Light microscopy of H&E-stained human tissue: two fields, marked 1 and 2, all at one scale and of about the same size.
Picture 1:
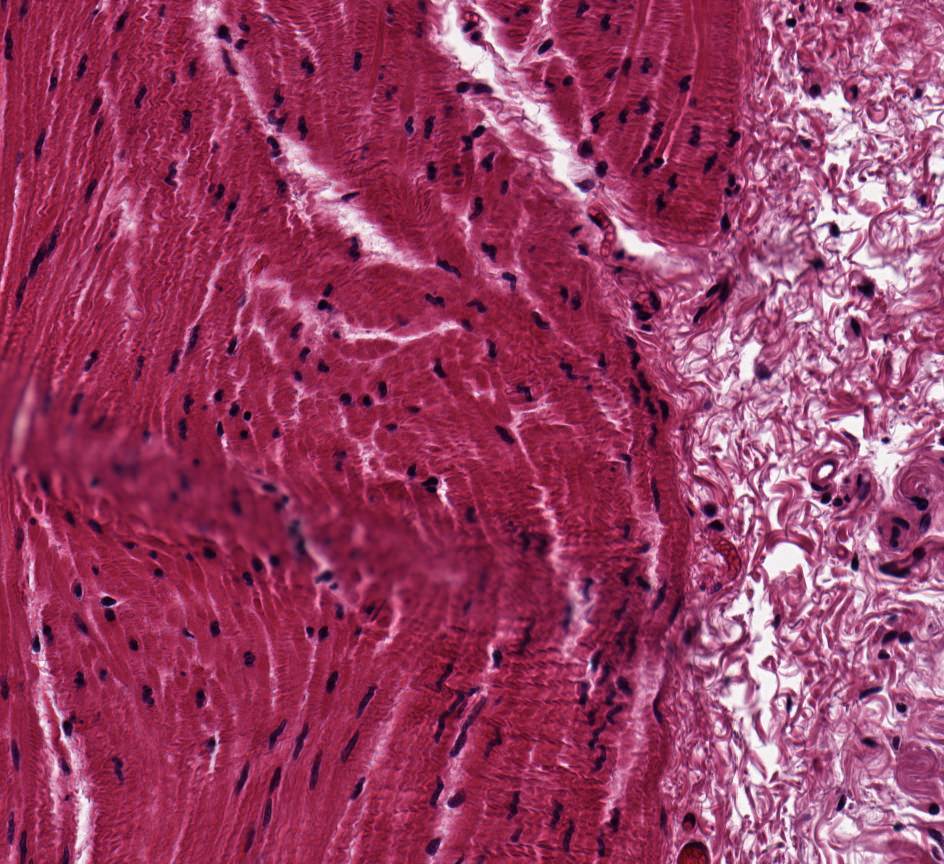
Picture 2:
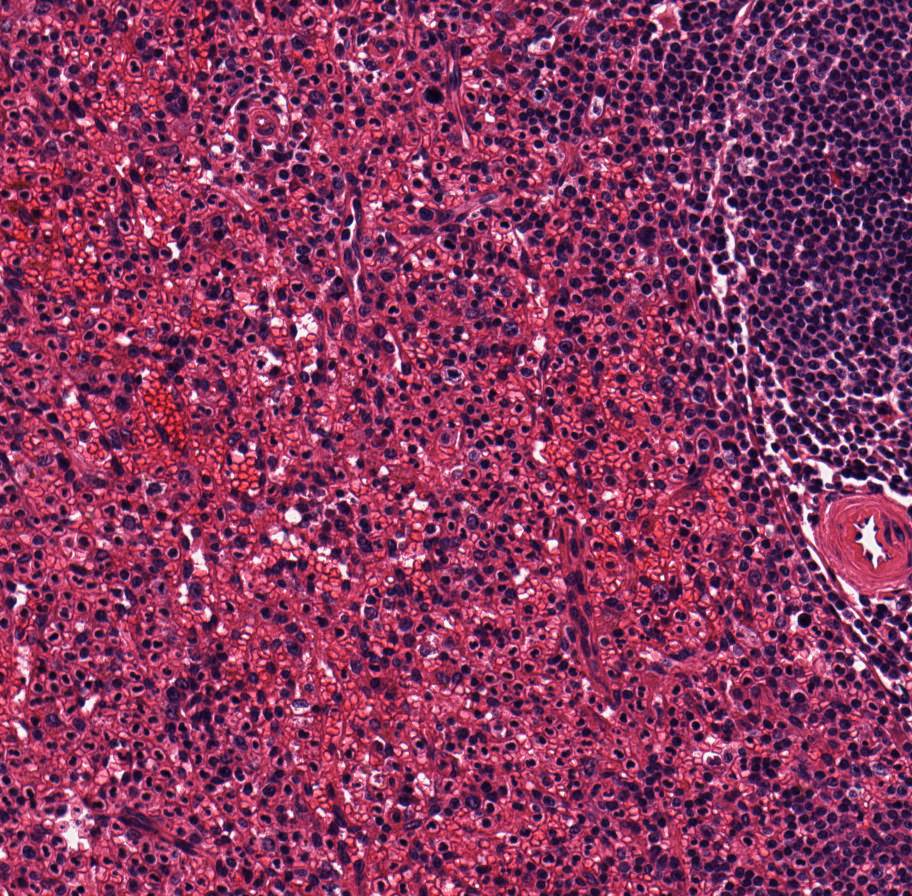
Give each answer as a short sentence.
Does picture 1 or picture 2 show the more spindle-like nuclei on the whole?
On the whole the nuclei of picture 1 are more drawn out than those of picture 2.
